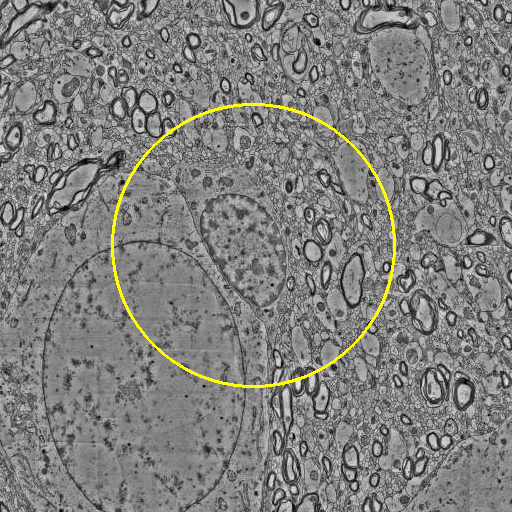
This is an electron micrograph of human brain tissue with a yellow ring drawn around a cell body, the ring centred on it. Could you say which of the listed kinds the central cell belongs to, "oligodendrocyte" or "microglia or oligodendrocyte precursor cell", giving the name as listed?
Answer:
oligodendrocyte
